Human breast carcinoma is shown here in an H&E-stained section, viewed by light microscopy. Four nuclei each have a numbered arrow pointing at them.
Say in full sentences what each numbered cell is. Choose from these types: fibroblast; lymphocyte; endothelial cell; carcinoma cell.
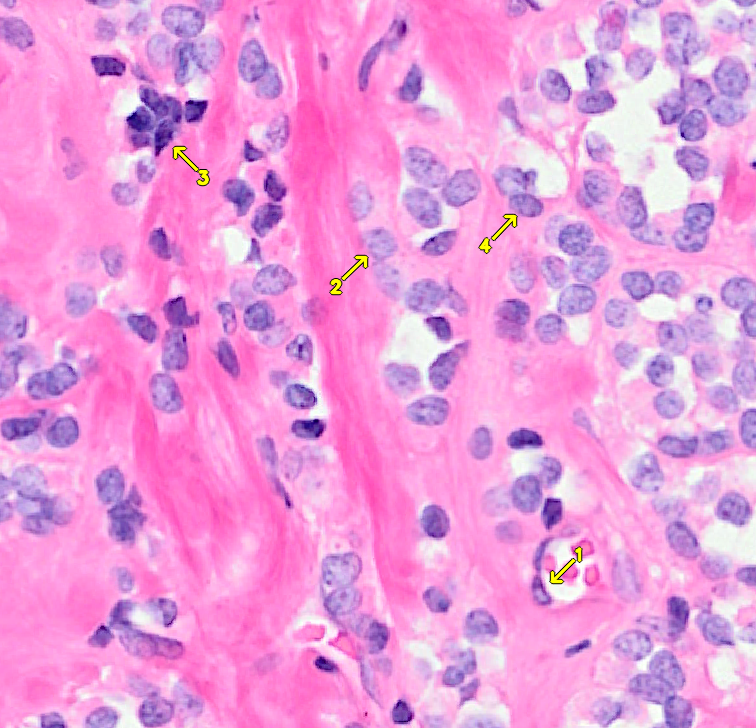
Cell 1 is an endothelial cell, cell 2 is a carcinoma cell, cell 3 is a carcinoma cell and cell 4 is a carcinoma cell.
